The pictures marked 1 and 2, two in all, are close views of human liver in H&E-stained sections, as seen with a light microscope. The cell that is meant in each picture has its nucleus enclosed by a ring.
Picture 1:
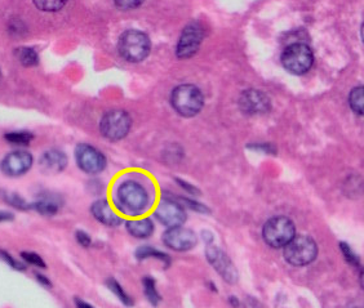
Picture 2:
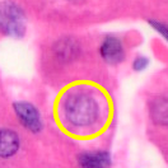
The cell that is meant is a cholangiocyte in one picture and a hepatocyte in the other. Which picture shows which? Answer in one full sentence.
Picture 1 shows a cholangiocyte and picture 2 shows a hepatocyte.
